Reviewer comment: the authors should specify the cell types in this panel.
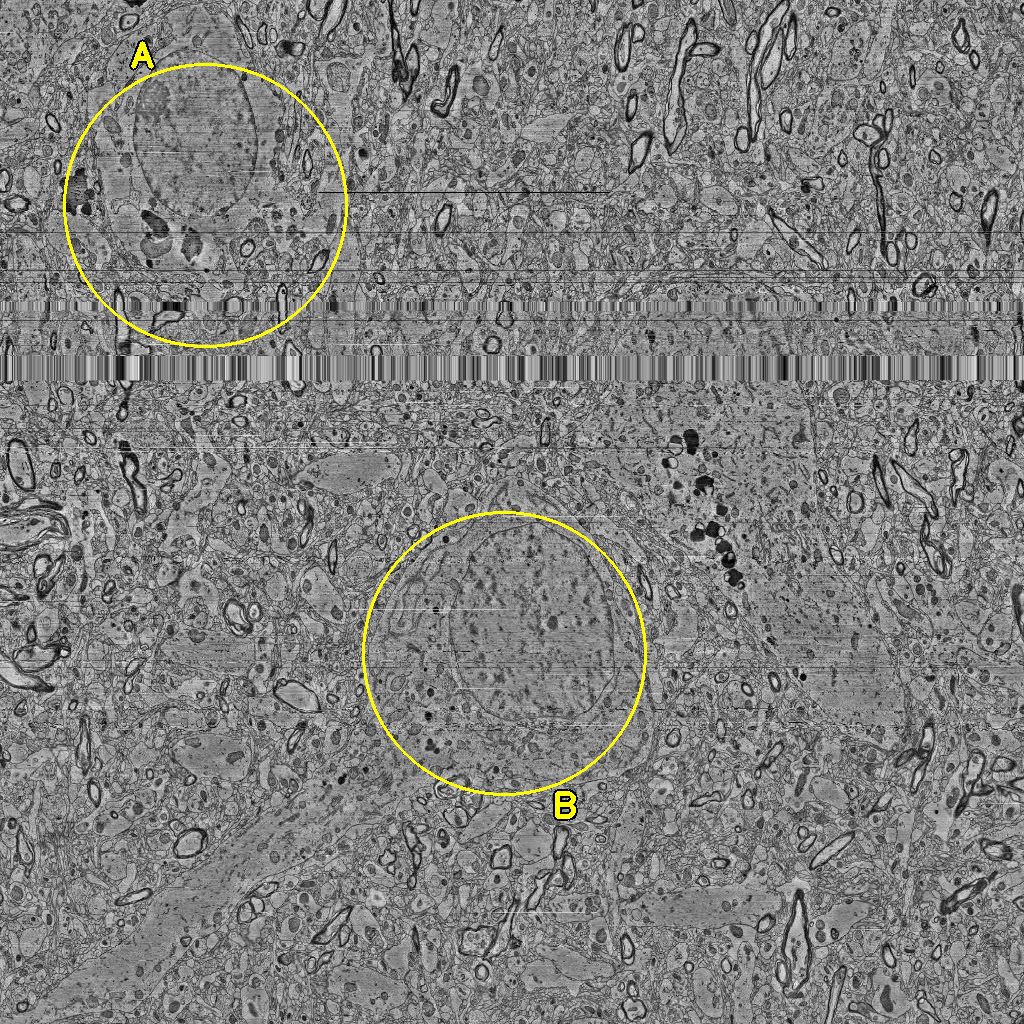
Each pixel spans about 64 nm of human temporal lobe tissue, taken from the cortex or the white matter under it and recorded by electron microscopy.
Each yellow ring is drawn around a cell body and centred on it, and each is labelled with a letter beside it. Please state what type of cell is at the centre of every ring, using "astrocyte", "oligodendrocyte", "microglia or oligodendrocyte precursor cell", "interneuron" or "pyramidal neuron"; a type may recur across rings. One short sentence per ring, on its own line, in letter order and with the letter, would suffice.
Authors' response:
The cell centred within ring A is an astrocyte.
The cell centred within ring B is a pyramidal neuron.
